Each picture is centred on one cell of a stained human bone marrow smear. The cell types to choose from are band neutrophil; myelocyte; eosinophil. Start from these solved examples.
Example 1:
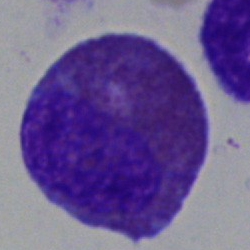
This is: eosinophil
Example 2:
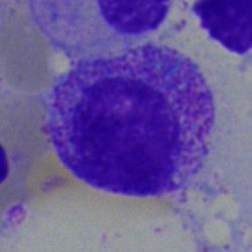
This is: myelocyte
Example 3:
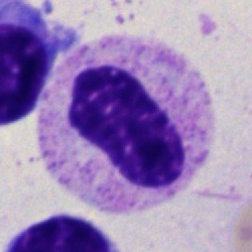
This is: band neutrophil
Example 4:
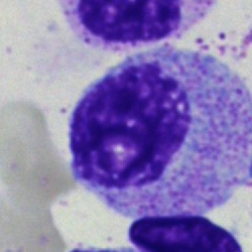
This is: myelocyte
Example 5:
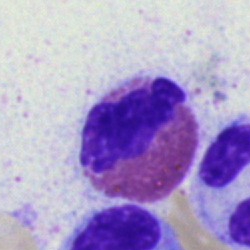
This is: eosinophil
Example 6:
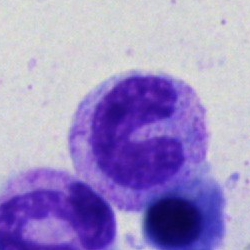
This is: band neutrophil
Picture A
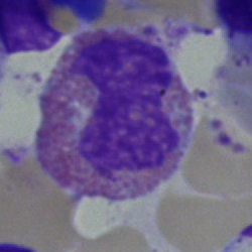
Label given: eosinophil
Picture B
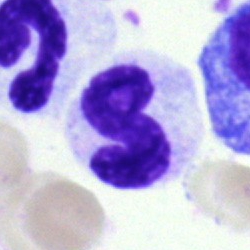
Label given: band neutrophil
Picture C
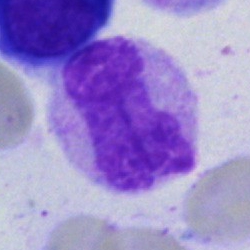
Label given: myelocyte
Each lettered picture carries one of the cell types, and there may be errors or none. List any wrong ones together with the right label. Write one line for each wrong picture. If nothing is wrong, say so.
C: band neutrophil, not myelocyte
